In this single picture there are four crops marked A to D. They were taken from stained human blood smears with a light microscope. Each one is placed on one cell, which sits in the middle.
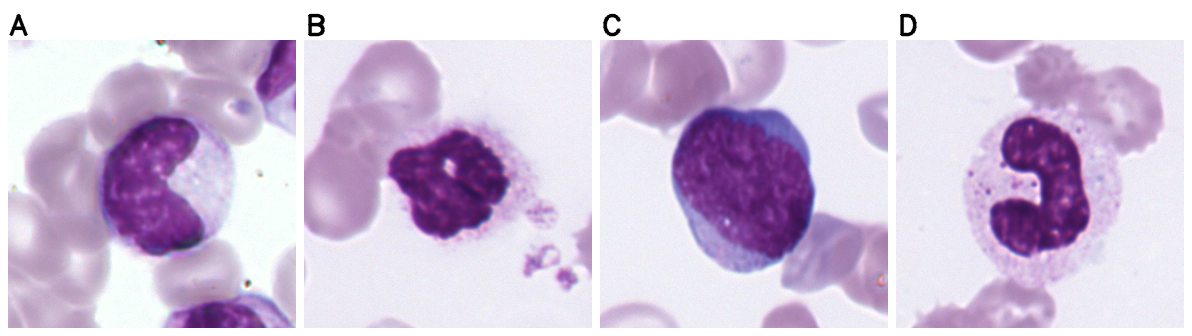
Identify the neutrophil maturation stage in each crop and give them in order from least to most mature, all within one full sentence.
From least mature to most mature, the crops fall in the order crop C (a blast), crop A (a metamyelocyte), crop D (a band neutrophil) and crop B (a segmented neutrophil).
